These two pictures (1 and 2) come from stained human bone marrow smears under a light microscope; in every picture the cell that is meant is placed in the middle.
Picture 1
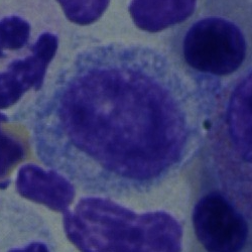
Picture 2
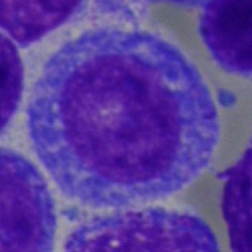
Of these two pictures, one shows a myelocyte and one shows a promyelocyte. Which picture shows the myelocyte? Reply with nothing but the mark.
1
